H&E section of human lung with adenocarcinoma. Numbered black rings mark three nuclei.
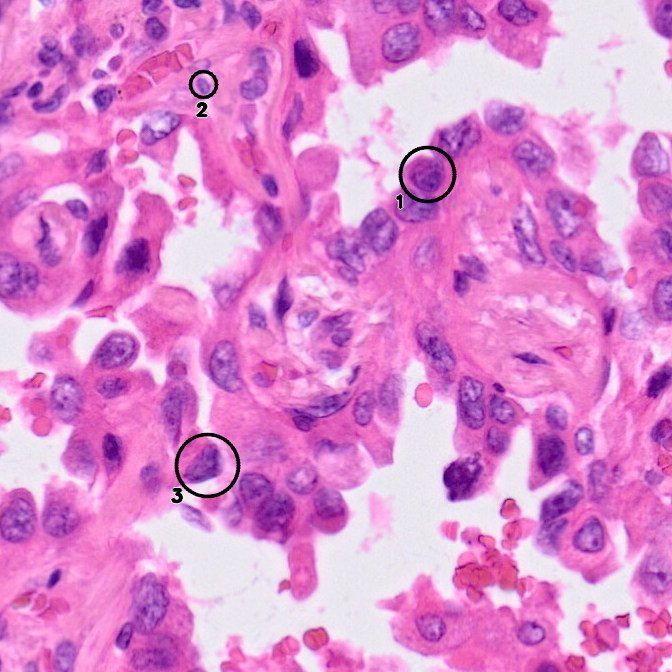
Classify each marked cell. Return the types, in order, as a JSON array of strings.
["carcinoma cell", "lymphocyte", "carcinoma cell"]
